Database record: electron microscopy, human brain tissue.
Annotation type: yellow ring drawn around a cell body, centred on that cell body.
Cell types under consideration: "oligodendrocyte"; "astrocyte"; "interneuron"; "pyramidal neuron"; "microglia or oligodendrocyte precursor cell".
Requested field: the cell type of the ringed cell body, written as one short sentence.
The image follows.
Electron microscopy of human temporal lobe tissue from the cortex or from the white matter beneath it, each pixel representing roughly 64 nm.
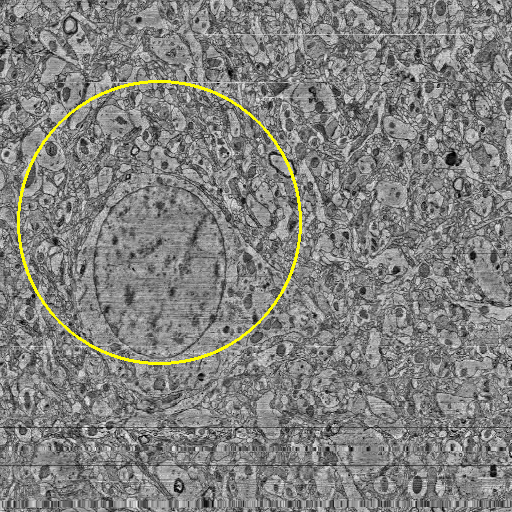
The ringed cell body represents a pyramidal neuron.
